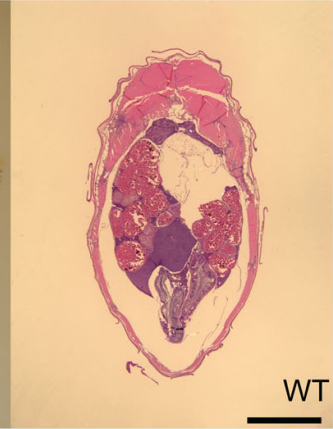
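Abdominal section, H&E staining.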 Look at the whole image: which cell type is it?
Oocytes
